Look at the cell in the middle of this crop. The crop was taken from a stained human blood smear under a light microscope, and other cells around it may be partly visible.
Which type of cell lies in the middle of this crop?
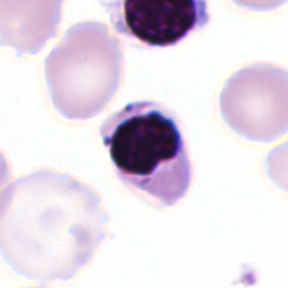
erythroblast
